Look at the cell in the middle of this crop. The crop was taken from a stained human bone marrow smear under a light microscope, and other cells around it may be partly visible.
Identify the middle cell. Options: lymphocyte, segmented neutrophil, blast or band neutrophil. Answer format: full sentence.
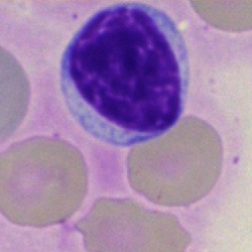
The single cell at the center of the crop is a lymphocyte.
